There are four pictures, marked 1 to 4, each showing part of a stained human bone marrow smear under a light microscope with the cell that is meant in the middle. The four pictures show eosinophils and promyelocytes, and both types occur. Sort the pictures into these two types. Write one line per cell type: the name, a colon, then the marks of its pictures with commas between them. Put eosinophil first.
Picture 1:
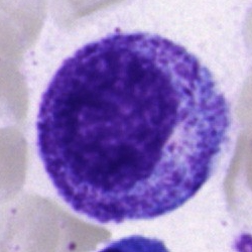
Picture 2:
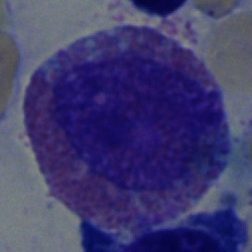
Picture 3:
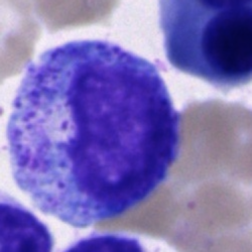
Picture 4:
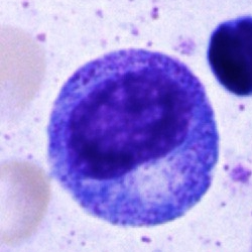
eosinophil: 2
promyelocyte: 1, 3, 4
